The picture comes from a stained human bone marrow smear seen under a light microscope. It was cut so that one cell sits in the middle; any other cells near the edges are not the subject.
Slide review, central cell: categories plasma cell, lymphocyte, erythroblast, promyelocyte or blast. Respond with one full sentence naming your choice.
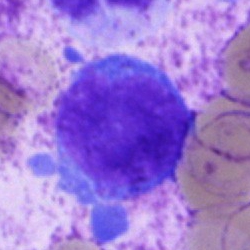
In the middle of this smear crop, the cell is a blast.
